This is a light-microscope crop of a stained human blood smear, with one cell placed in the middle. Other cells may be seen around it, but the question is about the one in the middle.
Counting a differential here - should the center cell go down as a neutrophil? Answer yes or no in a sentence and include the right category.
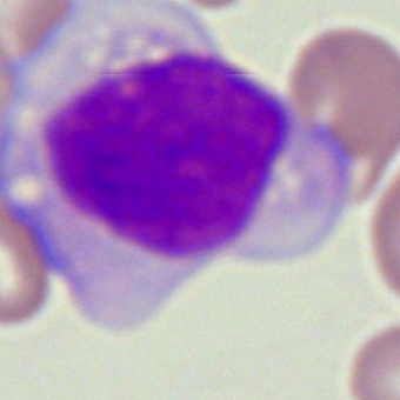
No, the central cell is classed as a monocyte and not as a neutrophil.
